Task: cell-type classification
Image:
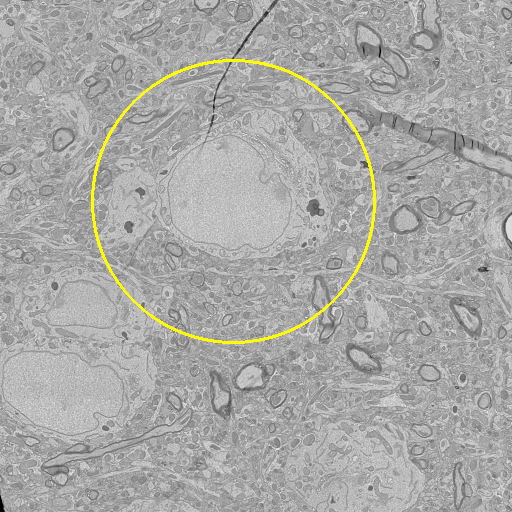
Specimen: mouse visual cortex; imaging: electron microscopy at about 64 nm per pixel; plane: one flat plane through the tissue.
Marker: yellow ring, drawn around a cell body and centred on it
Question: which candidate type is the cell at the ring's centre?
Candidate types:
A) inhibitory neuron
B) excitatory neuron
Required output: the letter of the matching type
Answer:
B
